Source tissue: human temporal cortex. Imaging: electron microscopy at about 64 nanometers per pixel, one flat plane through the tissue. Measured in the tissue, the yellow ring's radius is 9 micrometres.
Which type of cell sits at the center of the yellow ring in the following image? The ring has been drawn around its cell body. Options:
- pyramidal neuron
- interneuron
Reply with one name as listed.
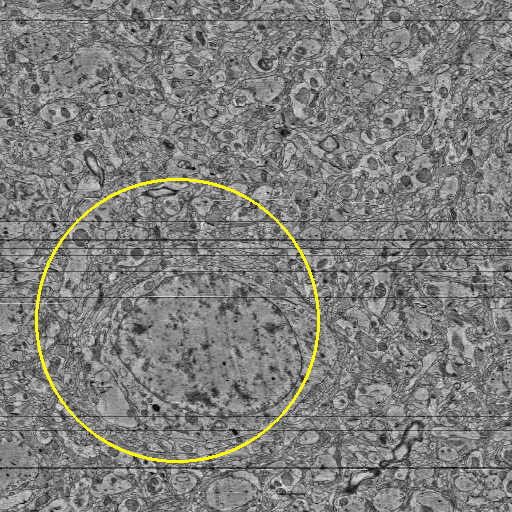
pyramidal neuron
